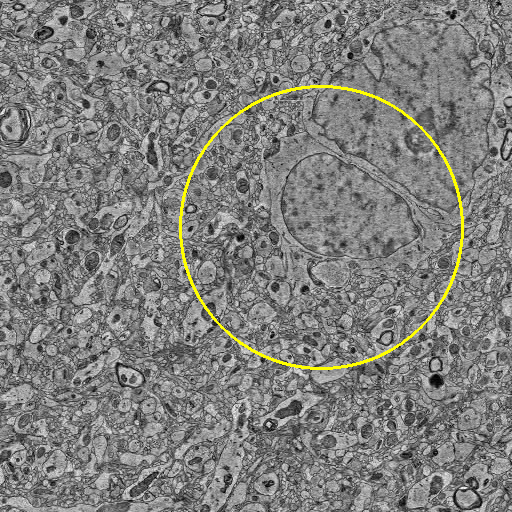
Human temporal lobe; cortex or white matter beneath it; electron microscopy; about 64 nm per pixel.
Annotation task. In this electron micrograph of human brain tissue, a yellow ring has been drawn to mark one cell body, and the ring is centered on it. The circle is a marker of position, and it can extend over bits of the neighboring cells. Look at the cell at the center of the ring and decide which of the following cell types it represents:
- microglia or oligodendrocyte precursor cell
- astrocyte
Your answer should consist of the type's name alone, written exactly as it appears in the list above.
microglia or oligodendrocyte precursor cell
